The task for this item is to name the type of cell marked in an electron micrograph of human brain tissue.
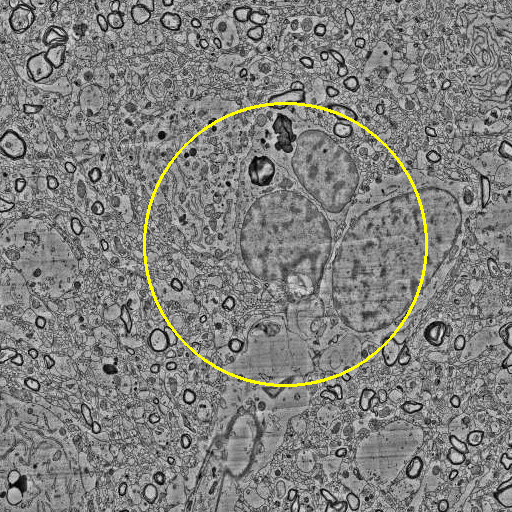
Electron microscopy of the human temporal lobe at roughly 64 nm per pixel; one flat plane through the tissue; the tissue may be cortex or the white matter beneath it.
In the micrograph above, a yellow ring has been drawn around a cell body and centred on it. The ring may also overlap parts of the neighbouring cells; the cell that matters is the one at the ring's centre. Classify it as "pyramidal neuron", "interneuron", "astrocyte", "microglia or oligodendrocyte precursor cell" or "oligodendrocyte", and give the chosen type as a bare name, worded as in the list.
oligodendrocyte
